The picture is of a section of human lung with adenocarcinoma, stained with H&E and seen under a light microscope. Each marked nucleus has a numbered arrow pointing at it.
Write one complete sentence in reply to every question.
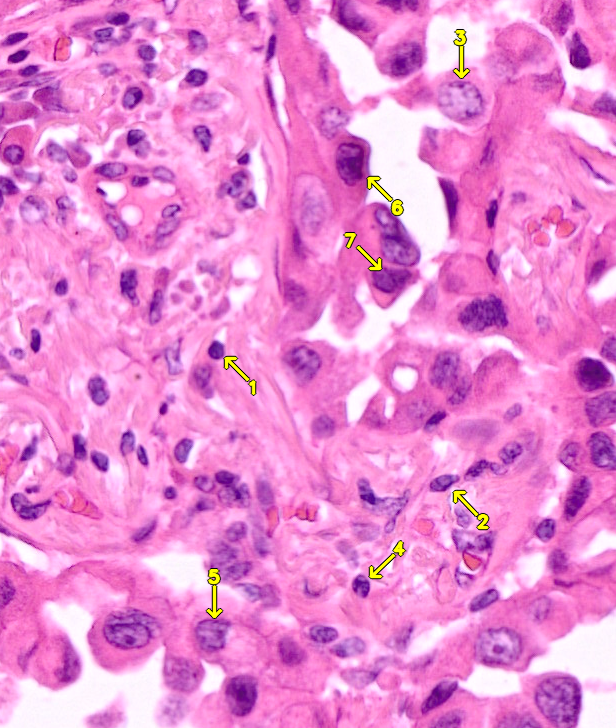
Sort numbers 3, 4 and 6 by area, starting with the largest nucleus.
From largest to smallest, the order is 3, 6, 4.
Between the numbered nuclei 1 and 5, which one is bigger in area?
Nucleus 5 is the larger one, covering about 3 times the area of nucleus 1.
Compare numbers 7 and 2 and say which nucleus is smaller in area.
With nucleus 7 about 2.5 times its size, nucleus 2 is the smaller of the two.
